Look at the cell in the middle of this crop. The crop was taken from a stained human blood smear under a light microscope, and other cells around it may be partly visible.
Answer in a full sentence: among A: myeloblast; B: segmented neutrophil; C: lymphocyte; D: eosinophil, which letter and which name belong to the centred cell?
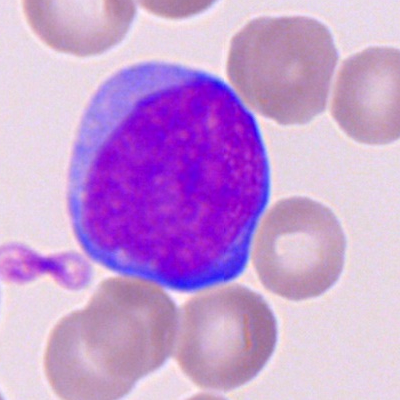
The centrally positioned cell is a myeloblast, consistent with option A, which is correct.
